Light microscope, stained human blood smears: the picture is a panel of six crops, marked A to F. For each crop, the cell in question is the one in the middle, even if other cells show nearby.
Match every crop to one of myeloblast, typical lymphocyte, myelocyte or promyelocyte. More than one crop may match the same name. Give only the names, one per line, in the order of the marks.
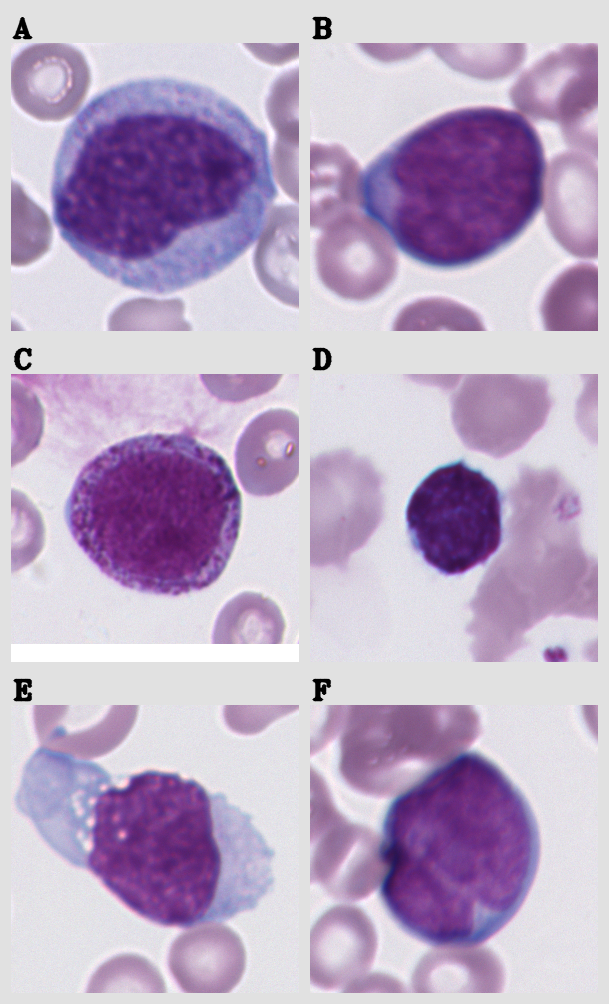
promyelocyte
myeloblast
promyelocyte
typical lymphocyte
myeloblast
myeloblast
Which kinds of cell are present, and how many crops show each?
myeloblast: 3
promyelocyte: 2
typical lymphocyte: 1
